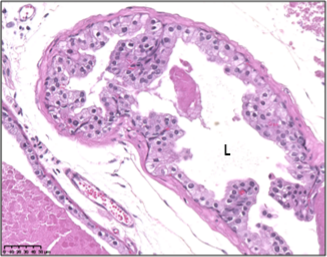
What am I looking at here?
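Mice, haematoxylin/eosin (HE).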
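A single prostate gland is cut in cross-section, with a wide central lumen containing a little pink material. The lining epithelium is thickened and piled up in places, forming papillary and bridging folds that project into the lumen. The epithelial cells have round, moderately sized nuclei and pale pink cytoplasm. A thin band of pink fibromuscular stroma encircles the gland, with skeletal muscle and a small blood vessel outside it at the lower left.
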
